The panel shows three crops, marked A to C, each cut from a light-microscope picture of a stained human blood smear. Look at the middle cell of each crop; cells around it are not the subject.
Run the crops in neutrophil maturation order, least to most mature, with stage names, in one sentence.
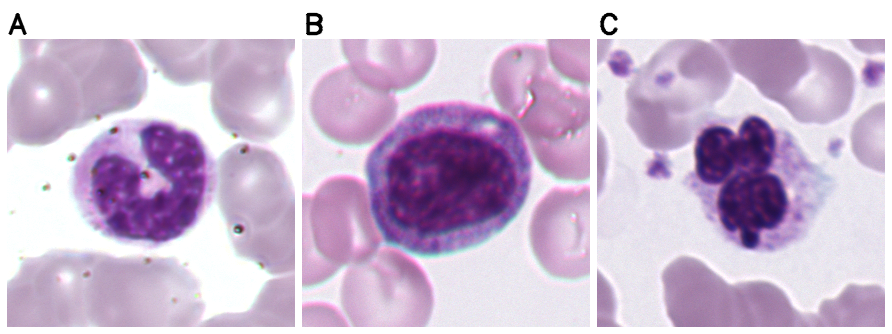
By increasing maturity, the order is crop B (a myelocyte), crop A (a band neutrophil) and crop C (a segmented neutrophil).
